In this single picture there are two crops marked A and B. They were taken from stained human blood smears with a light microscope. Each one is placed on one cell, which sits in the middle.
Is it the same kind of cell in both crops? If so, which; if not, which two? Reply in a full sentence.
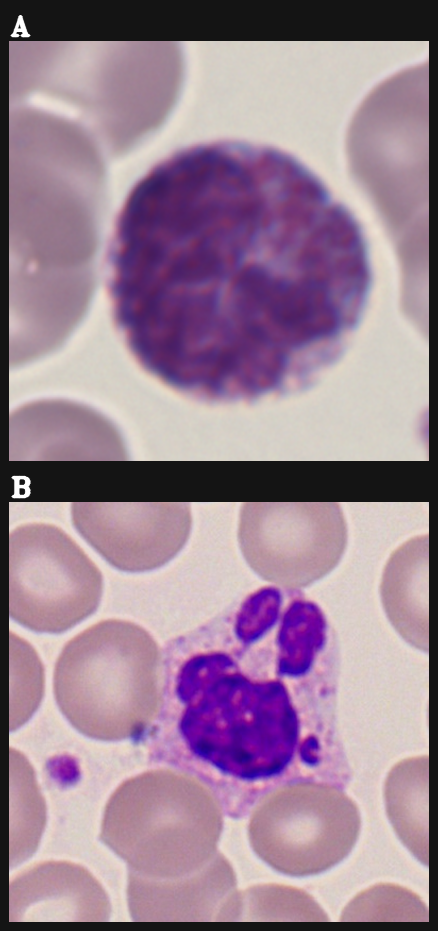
Yes, the centre of both crops is taken up by basophils.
